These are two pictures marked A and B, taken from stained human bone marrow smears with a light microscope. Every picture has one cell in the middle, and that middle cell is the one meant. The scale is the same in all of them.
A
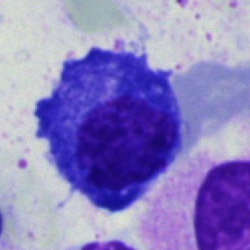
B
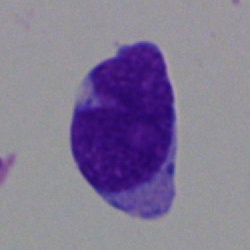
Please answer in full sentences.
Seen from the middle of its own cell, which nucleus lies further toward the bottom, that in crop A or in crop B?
The nucleus in crop A lies further toward the bottom of its cell.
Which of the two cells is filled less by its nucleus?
It is the cell in crop A that is filled less by its nucleus.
